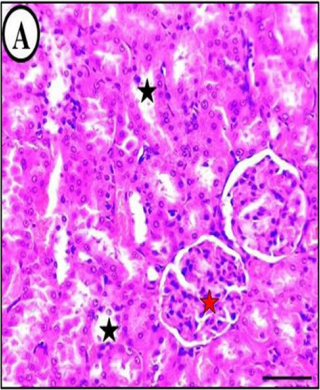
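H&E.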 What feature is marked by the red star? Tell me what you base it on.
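Kidney glomerular. A rounded tuft of densely nucleated capillary loops. The tuft is surrounded by a thin clear space and capsule.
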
